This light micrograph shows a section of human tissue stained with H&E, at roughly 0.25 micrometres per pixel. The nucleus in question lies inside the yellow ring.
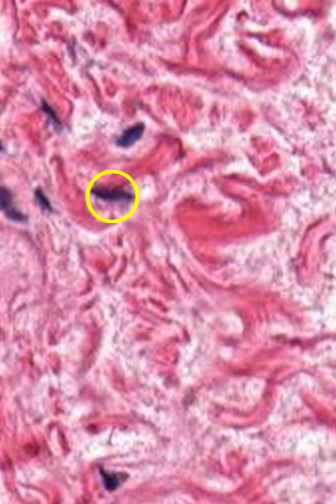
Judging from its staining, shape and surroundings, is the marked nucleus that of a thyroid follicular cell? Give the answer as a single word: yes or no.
no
